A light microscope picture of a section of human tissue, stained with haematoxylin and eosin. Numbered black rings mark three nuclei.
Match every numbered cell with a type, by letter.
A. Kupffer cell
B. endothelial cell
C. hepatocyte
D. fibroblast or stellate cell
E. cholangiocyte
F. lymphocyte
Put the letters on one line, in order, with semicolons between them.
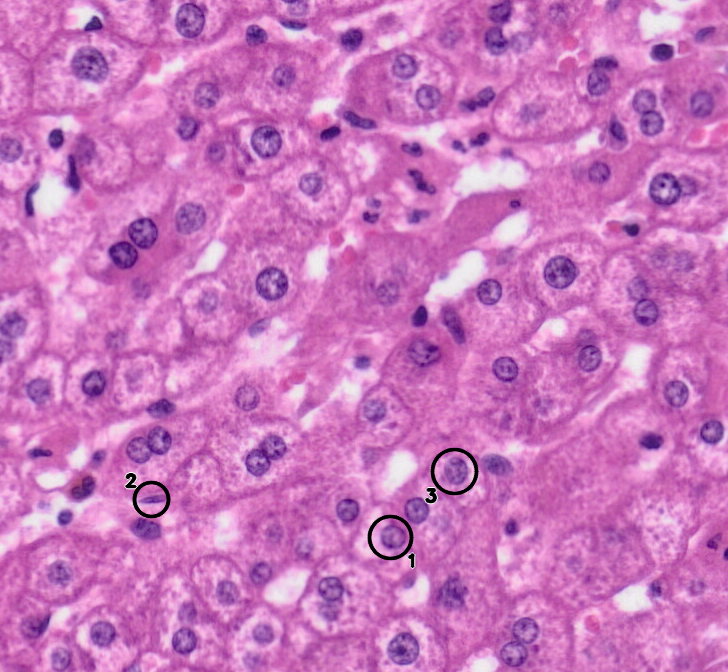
C; B; C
